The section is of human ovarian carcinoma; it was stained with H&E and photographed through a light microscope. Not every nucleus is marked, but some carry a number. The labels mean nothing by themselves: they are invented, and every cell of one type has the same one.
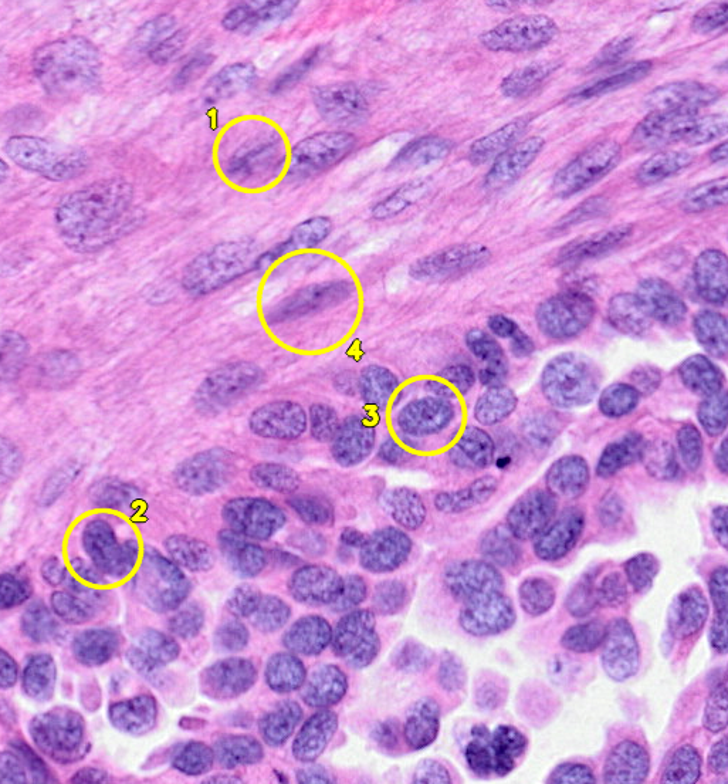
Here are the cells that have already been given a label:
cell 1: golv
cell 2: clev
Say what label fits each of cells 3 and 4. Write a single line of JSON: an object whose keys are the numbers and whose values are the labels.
{"3": "clev", "4": "golv"}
